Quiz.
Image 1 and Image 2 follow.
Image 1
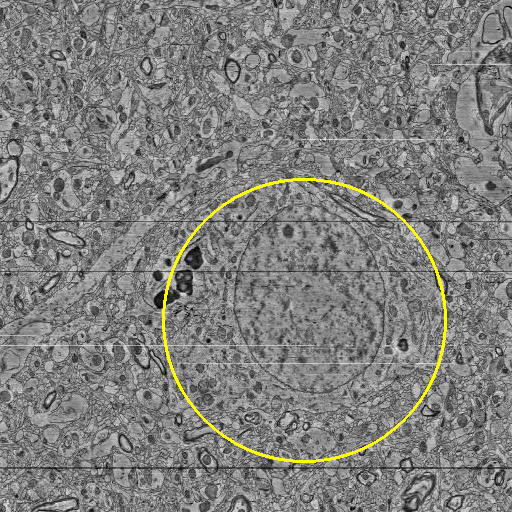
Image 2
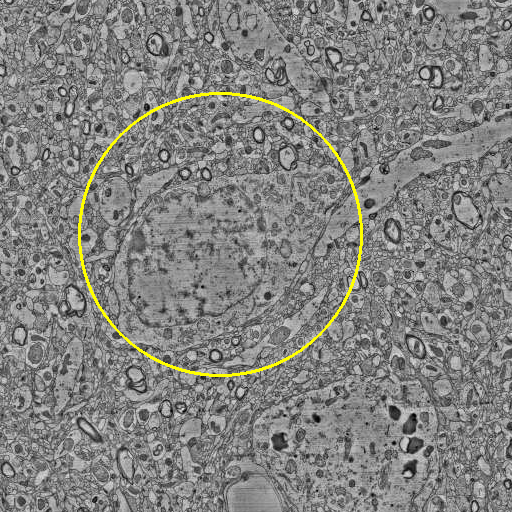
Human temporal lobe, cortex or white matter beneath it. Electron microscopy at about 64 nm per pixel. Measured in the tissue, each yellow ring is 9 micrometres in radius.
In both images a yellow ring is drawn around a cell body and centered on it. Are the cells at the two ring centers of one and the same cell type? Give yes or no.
yes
